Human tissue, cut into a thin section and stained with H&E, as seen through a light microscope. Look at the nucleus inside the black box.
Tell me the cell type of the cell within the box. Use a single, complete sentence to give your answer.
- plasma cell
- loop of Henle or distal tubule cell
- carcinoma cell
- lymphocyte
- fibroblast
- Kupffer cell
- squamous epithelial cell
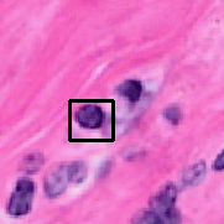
As far as its identity is concerned, the cell within the box is a lymphocyte.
